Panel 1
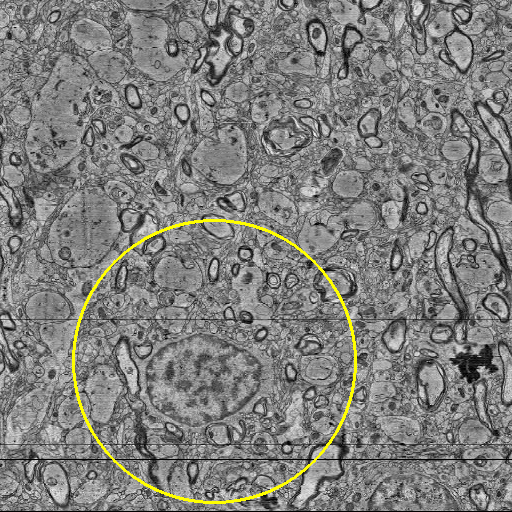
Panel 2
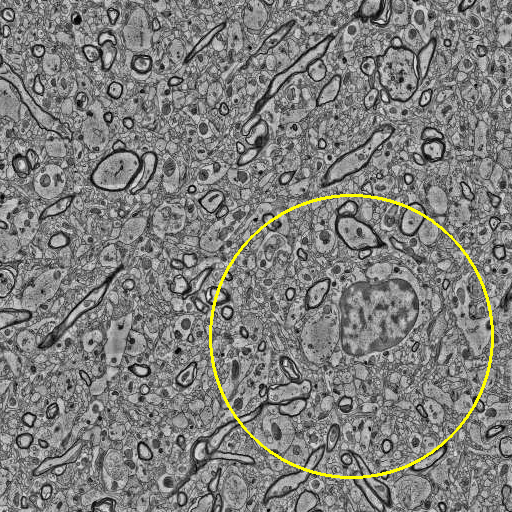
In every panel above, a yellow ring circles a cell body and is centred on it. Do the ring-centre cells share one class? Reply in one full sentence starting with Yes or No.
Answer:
No, the two cells at the ring centres in the panels belong to two classes.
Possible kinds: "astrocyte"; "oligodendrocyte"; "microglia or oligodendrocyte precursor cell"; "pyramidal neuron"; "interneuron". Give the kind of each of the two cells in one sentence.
The cell in the second picture is a microglial cell or oligodendrocyte precursor cell, and that in the first is an oligodendrocyte.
